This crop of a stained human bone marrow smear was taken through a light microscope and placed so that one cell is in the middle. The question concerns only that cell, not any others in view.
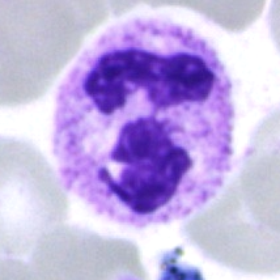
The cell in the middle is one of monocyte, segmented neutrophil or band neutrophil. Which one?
segmented neutrophil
